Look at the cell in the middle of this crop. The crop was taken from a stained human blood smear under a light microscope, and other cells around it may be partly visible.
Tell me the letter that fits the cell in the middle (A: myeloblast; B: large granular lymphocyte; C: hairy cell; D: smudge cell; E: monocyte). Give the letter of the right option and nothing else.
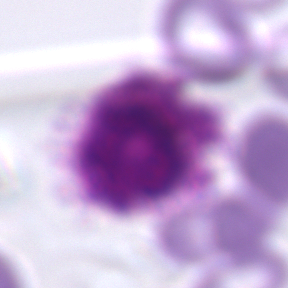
D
